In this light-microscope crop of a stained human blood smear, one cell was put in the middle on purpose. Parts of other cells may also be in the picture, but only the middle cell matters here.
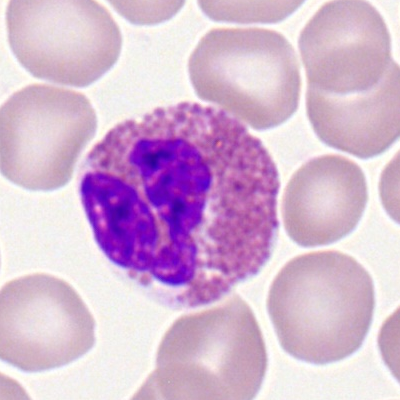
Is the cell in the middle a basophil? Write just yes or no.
no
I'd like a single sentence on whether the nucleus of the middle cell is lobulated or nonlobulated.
It is worth mentioning that the nucleus carries two or more lobes.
